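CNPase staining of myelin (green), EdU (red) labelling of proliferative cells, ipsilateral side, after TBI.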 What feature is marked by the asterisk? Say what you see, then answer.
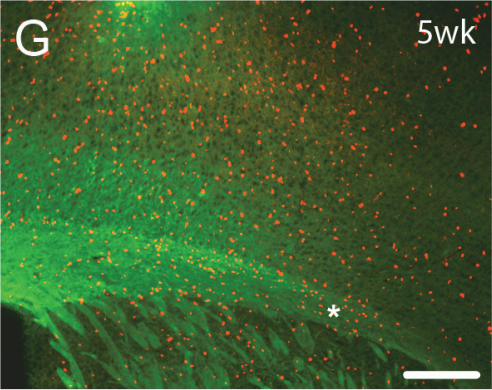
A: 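The asterisk sits on a bright green curved band of fibres below the cortex. Red nuclei are scattered along and above this band.
External capsule.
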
